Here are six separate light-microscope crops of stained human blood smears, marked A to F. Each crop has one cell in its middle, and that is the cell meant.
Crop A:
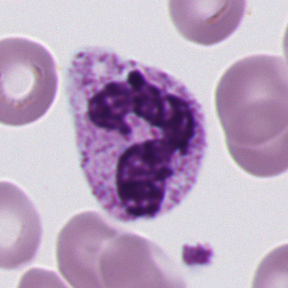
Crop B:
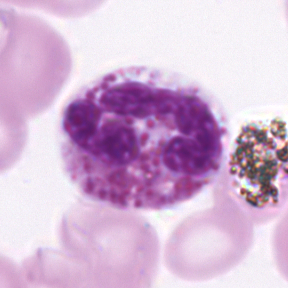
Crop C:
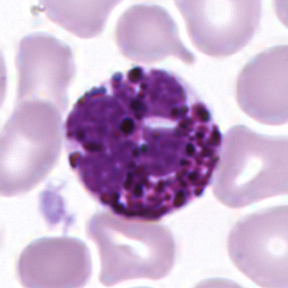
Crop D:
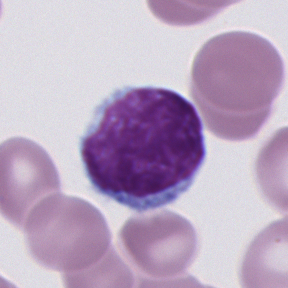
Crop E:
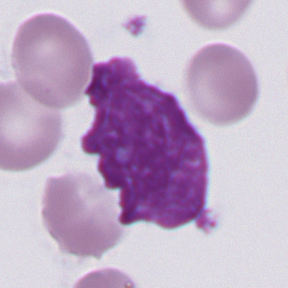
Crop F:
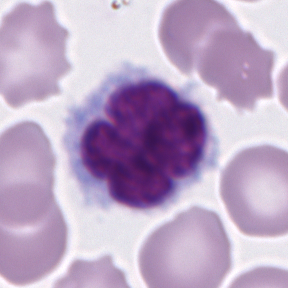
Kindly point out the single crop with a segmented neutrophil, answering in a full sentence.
The one showing a segmented neutrophil is the crop labelled A.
